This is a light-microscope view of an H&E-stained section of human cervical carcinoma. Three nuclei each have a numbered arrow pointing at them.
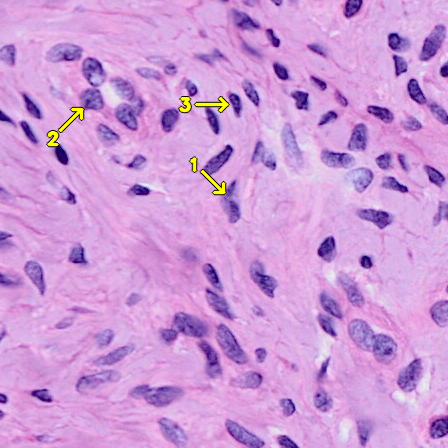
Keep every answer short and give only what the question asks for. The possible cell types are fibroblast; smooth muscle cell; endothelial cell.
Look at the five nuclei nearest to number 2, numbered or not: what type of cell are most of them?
endothelial cell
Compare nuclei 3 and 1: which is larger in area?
1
